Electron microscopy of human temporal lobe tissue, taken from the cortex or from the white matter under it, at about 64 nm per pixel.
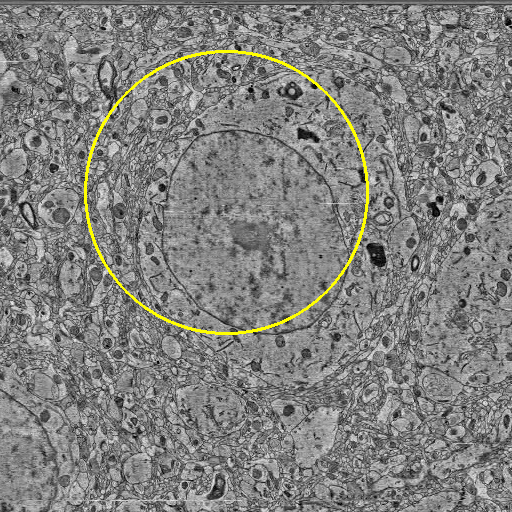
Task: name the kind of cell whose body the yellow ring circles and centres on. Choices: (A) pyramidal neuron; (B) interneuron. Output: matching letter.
A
